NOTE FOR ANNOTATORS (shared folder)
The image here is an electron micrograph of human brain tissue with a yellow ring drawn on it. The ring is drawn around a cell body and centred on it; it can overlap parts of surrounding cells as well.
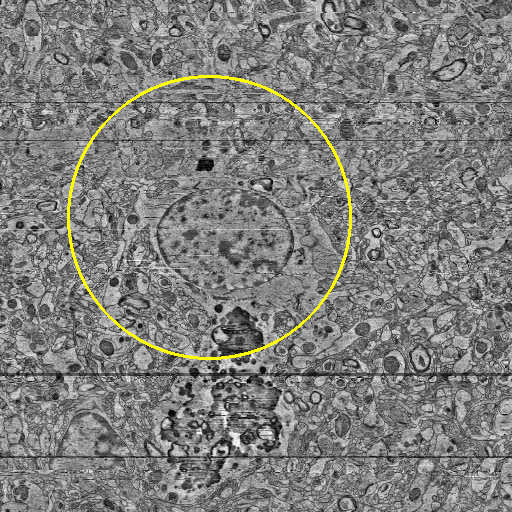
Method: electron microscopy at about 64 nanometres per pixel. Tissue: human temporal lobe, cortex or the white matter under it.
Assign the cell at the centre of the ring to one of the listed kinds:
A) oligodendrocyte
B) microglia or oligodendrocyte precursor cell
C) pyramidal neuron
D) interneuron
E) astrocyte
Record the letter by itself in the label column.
E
